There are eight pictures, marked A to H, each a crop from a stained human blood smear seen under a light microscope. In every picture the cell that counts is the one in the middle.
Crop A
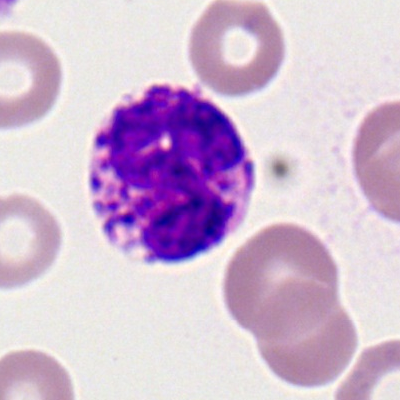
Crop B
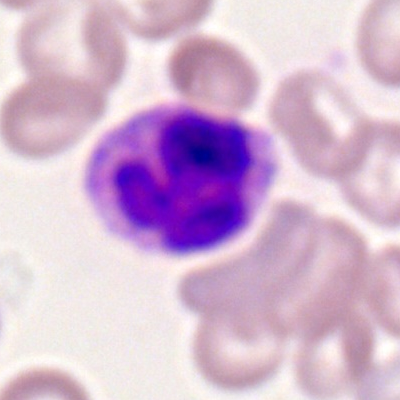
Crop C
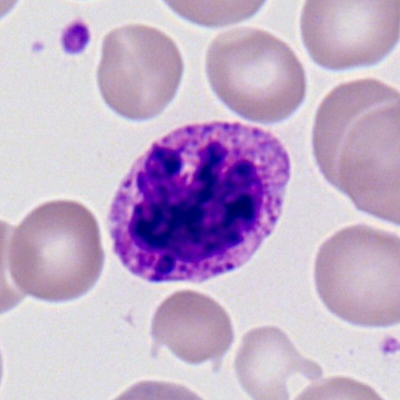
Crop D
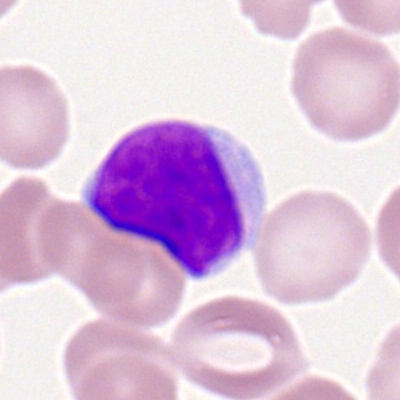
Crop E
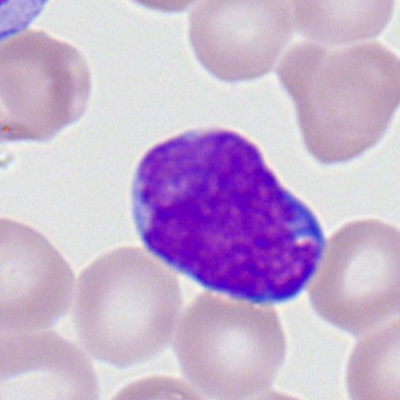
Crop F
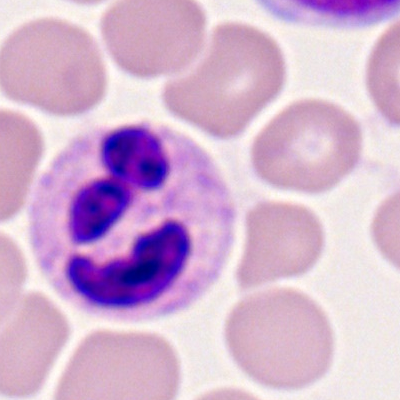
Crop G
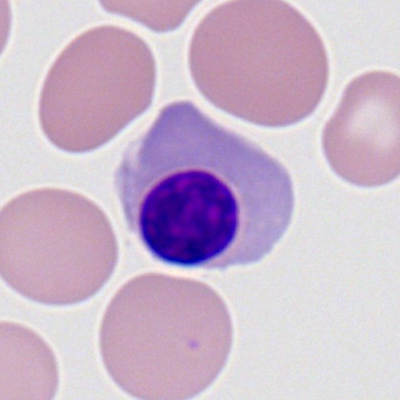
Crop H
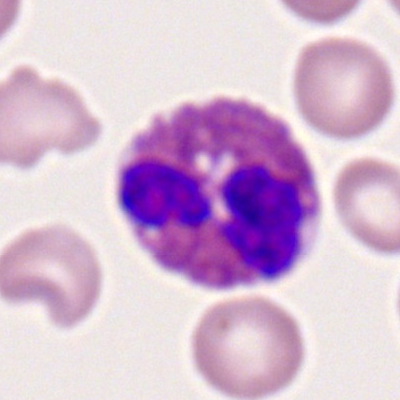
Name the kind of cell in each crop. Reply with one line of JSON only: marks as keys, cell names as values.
{"A": "basophil", "B": "basophil", "C": "basophil", "D": "lymphocyte", "E": "myeloblast", "F": "segmented neutrophil", "G": "erythroblast", "H": "eosinophil"}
